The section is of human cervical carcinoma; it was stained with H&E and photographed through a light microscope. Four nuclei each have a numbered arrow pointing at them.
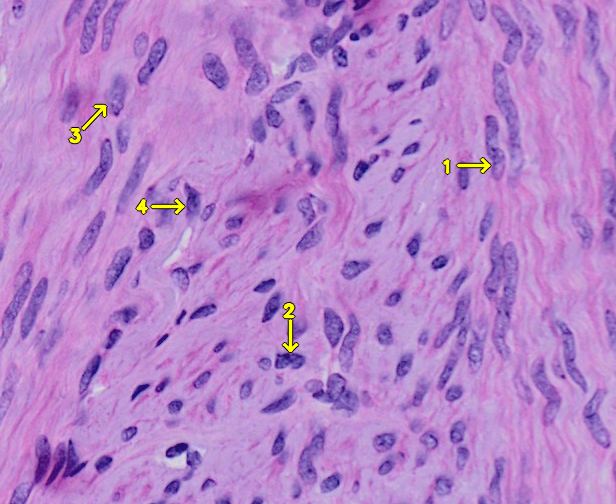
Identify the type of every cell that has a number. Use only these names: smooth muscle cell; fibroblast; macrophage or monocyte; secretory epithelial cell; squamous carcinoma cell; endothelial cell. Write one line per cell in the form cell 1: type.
cell 1: smooth muscle cell
cell 2: fibroblast
cell 3: smooth muscle cell
cell 4: fibroblast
